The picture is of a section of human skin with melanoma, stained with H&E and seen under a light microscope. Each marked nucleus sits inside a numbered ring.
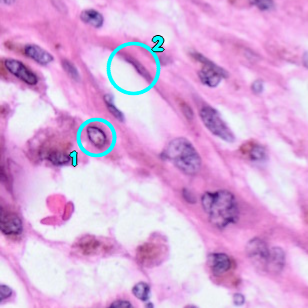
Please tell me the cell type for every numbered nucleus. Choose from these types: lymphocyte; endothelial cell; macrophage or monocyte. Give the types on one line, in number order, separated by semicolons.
macrophage or monocyte; endothelial cell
